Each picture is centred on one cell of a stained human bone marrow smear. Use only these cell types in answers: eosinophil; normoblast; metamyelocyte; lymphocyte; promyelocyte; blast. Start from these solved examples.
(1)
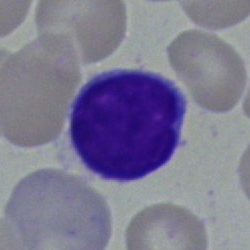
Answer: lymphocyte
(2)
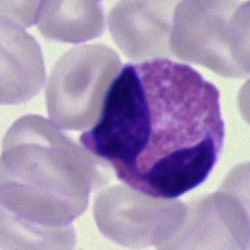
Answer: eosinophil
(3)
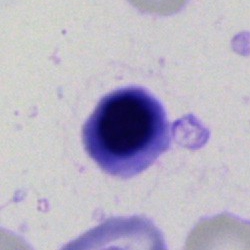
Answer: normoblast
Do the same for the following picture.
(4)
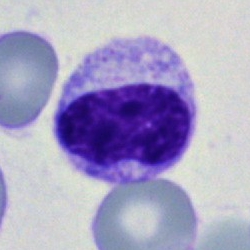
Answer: metamyelocyte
